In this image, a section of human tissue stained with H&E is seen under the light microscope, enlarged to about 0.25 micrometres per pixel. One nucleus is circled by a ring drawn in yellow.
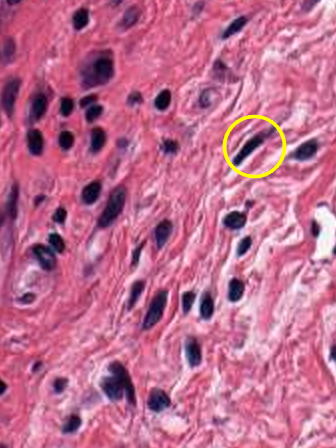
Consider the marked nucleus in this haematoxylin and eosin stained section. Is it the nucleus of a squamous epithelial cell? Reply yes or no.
no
